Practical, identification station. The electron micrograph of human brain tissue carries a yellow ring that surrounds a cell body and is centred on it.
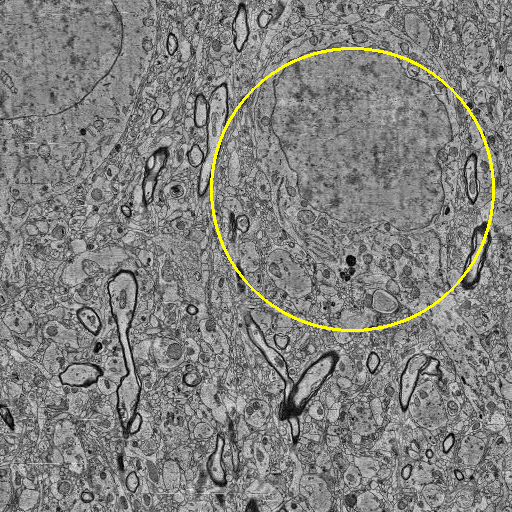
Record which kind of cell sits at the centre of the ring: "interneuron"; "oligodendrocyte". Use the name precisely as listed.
interneuron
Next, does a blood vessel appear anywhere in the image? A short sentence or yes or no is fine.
No, there is no blood vessel.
